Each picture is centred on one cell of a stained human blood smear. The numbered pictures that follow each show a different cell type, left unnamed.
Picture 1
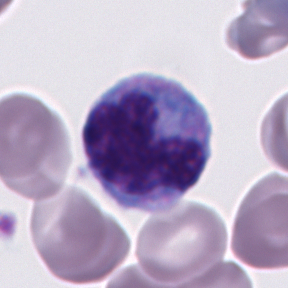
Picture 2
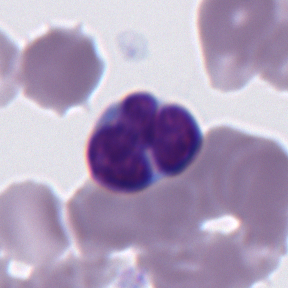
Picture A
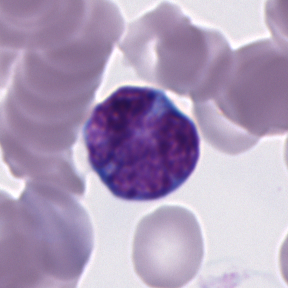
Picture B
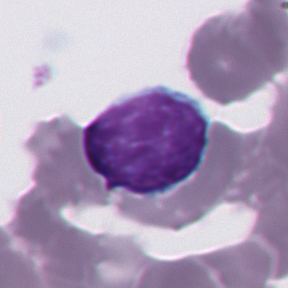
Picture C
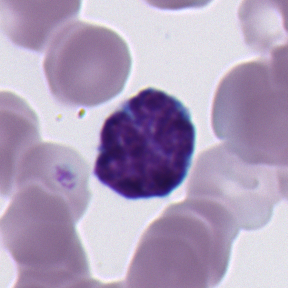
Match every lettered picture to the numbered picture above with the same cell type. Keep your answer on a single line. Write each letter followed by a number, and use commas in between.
A 2, B 2, C 2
